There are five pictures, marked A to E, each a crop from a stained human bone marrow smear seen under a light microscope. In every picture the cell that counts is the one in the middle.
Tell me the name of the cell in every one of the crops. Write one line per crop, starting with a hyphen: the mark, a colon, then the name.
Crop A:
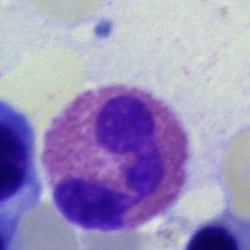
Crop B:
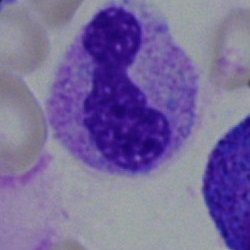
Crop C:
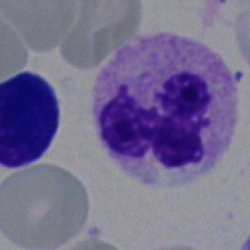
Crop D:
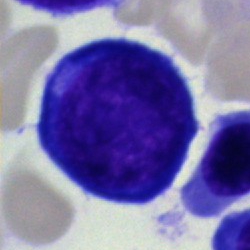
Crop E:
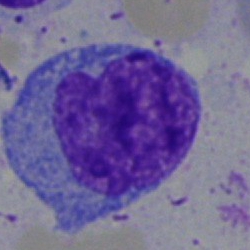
- A: eosinophil
- B: band neutrophil
- C: segmented neutrophil
- D: proerythroblast
- E: monocyte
